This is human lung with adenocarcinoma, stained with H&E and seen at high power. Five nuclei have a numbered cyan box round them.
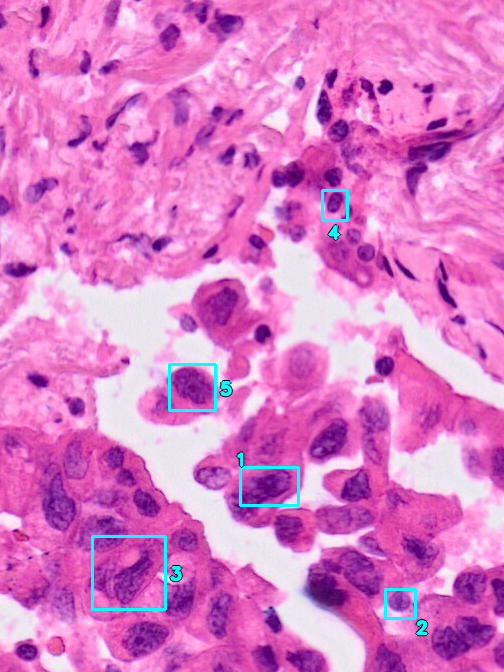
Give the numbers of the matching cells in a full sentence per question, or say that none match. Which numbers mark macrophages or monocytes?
No representatives of macrophages or monocytes are found among the numbered cells.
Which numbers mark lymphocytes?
The cells tagged with numbers 2 and 4 are lymphocytes.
